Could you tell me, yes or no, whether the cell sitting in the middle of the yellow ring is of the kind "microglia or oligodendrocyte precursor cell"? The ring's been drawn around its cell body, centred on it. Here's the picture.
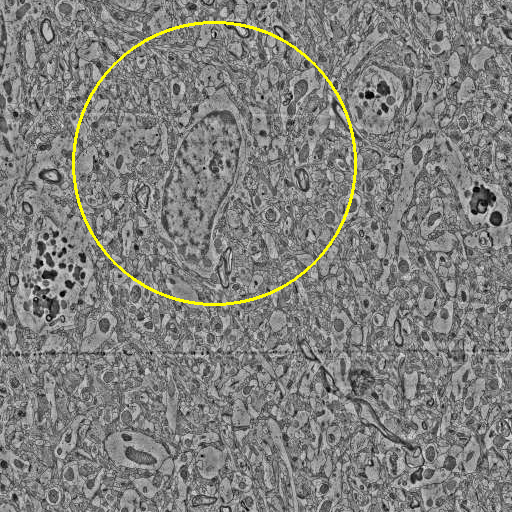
Yes, it is.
